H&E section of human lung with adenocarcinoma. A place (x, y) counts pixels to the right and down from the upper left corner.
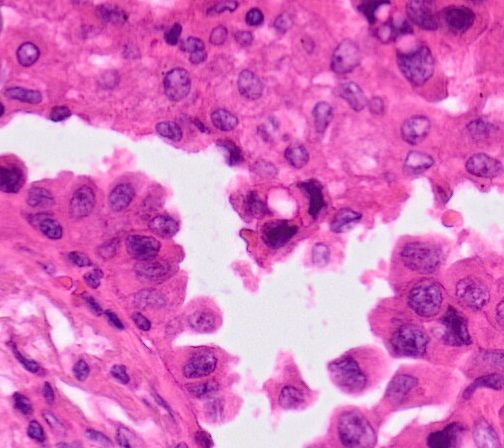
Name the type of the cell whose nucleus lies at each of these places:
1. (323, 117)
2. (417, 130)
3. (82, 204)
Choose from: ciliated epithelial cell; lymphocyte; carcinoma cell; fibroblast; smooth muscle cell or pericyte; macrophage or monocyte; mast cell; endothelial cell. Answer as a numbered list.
1. macrophage or monocyte
2. macrophage or monocyte
3. carcinoma cell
